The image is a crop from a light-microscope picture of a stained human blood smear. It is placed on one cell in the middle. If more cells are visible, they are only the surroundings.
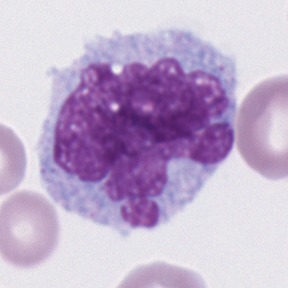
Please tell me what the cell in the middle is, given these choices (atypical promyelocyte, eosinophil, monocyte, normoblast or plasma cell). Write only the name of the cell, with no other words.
monocyte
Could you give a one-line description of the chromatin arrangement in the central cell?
The chromatin is fine, with no coarse clumping anywhere.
